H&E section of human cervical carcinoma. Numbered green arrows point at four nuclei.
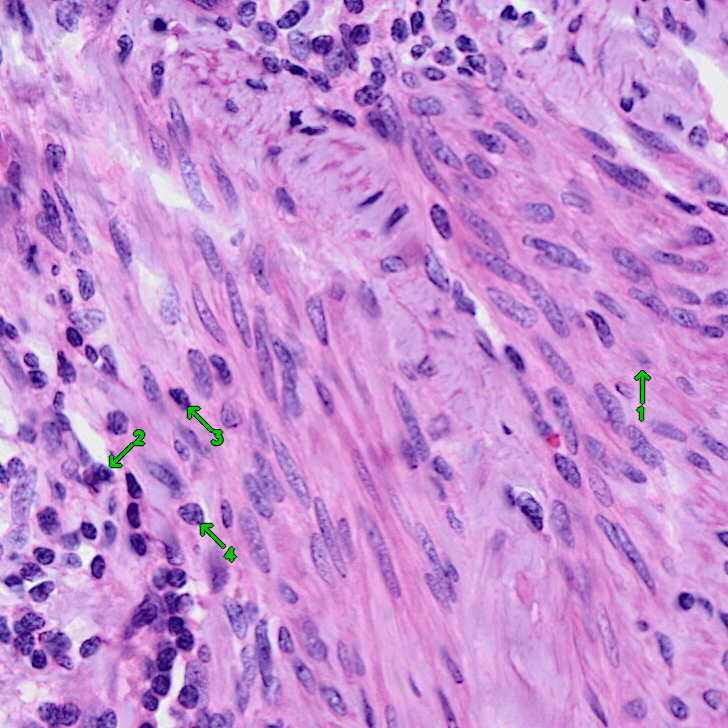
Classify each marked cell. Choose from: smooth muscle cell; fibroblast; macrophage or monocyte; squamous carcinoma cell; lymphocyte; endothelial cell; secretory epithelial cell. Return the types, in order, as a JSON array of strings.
["smooth muscle cell", "lymphocyte", "lymphocyte", "lymphocyte"]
